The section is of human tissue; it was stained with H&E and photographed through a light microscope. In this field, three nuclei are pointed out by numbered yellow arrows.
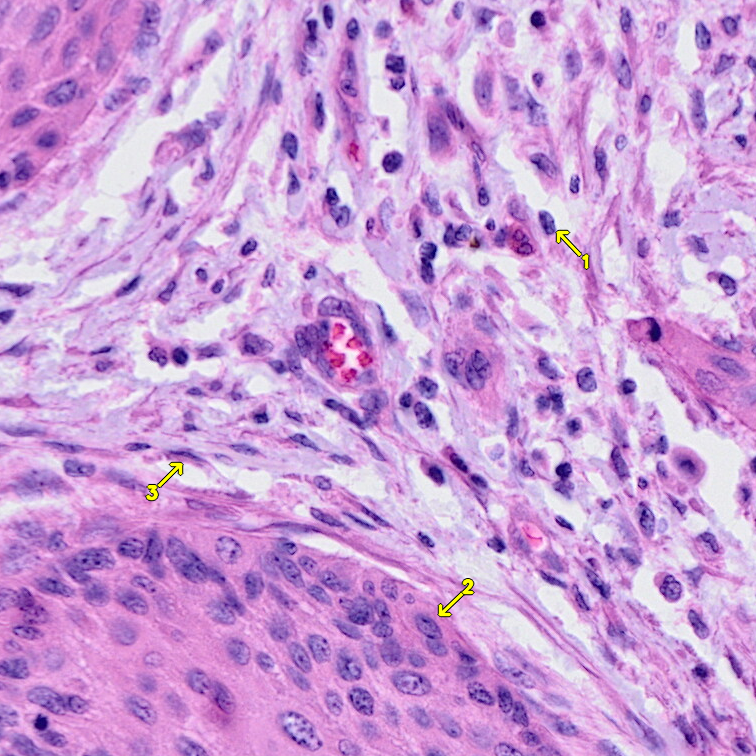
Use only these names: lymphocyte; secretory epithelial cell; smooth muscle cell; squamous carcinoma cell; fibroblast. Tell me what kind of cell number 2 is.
squamous carcinoma cell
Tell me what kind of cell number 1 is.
lymphocyte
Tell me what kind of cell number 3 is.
fibroblast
